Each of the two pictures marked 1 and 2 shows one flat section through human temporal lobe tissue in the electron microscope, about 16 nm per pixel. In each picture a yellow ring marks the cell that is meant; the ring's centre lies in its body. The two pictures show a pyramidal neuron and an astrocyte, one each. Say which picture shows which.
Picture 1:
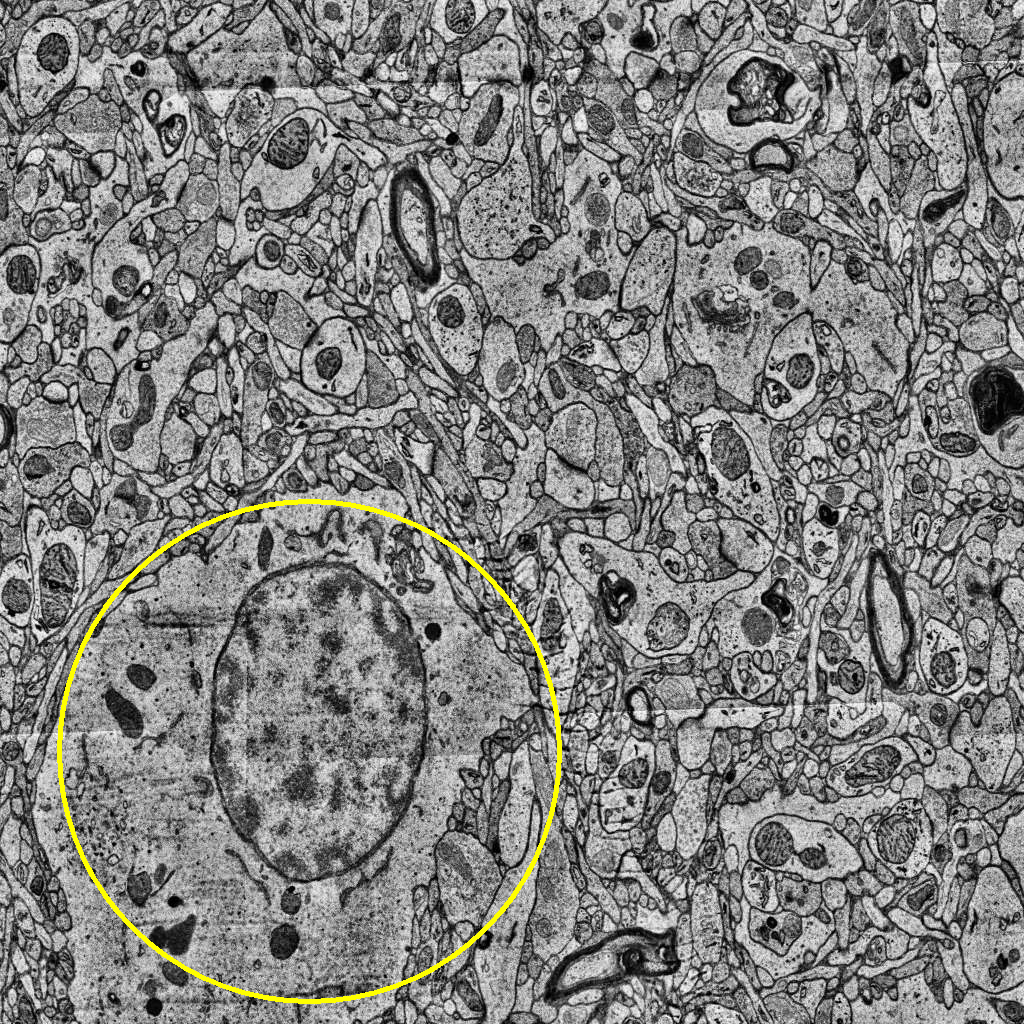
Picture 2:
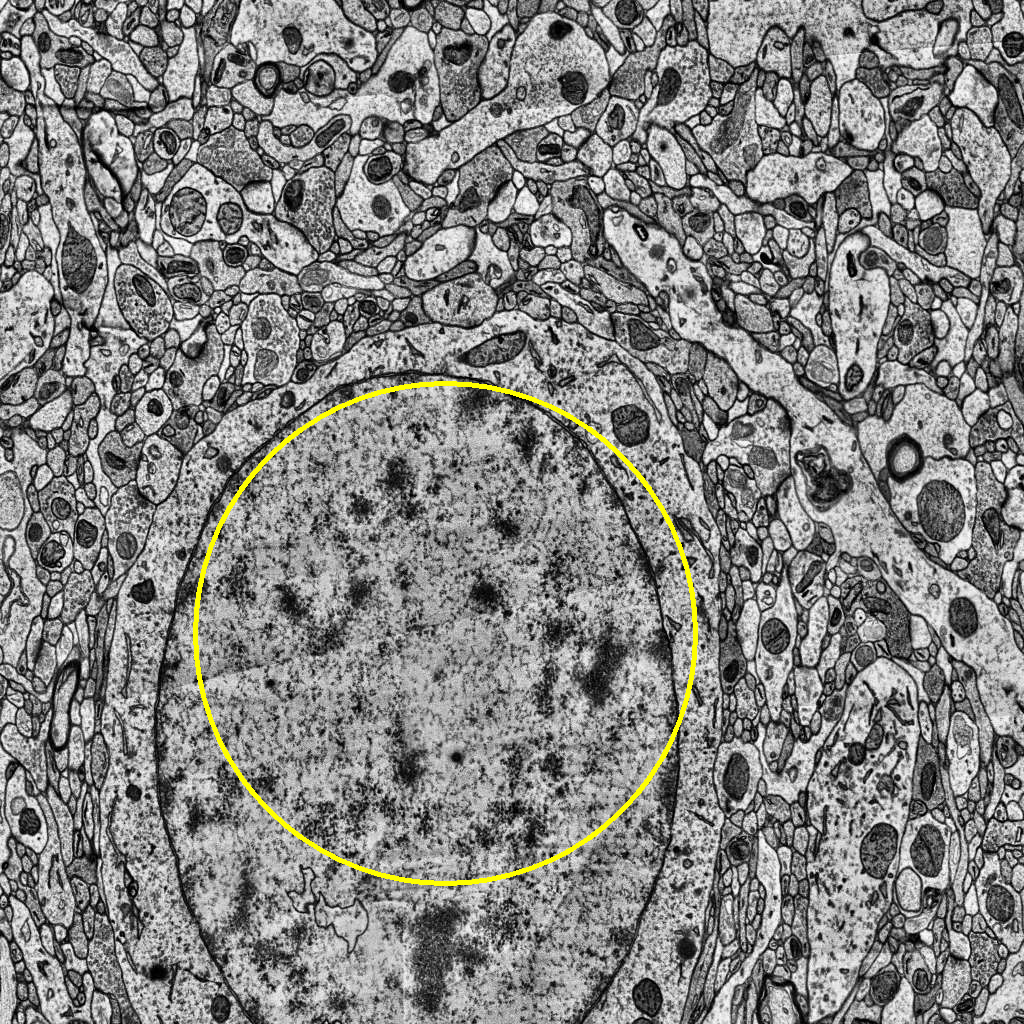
Picture 1 is of an astrocyte, and picture 2 is of a pyramidal neuron.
